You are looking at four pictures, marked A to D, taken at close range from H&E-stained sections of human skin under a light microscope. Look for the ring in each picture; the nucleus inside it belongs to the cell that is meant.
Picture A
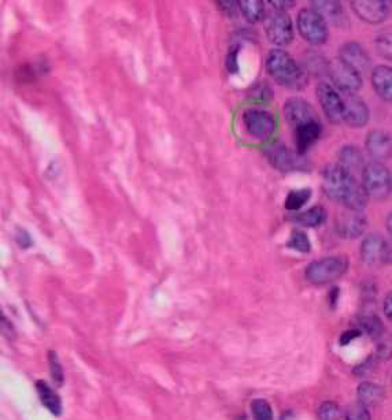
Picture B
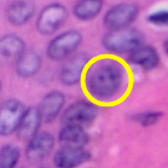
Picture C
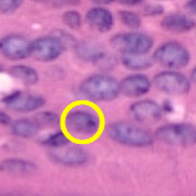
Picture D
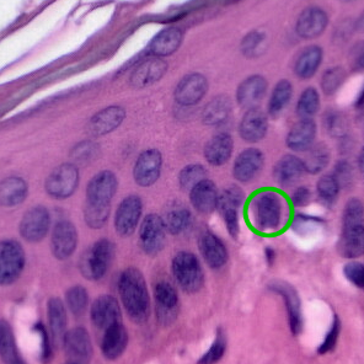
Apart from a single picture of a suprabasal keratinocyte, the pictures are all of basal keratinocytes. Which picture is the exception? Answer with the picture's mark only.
C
